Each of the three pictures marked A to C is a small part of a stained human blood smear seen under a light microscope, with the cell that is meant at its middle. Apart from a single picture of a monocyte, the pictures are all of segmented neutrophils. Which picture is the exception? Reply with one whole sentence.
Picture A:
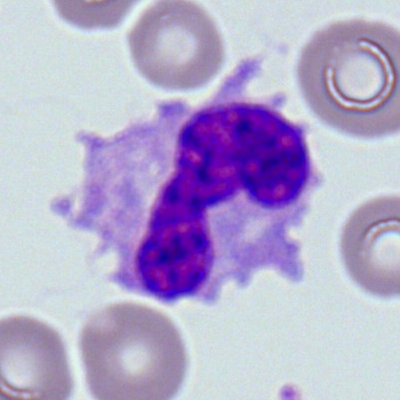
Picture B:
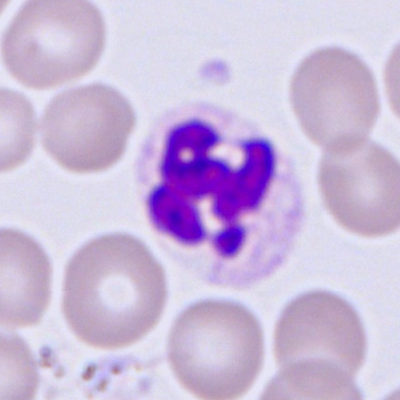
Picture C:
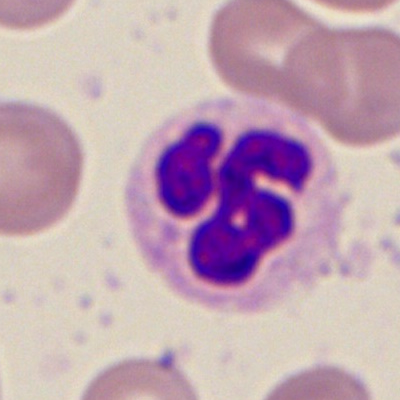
It is picture A that shows the monocyte.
